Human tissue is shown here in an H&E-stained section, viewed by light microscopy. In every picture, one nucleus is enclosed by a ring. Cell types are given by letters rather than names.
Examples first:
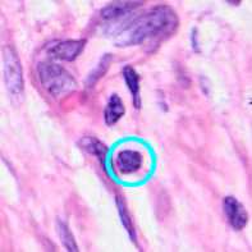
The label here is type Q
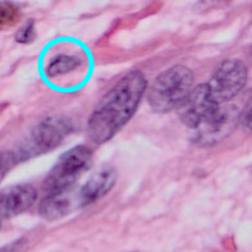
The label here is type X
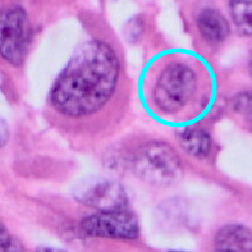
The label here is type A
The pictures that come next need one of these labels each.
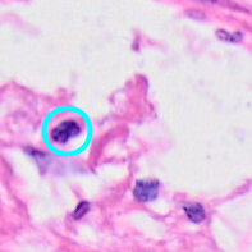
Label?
type Q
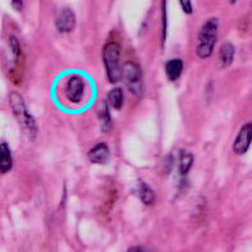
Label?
type Q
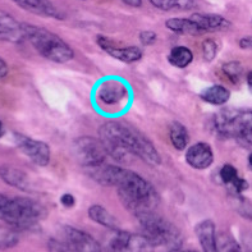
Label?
type Q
